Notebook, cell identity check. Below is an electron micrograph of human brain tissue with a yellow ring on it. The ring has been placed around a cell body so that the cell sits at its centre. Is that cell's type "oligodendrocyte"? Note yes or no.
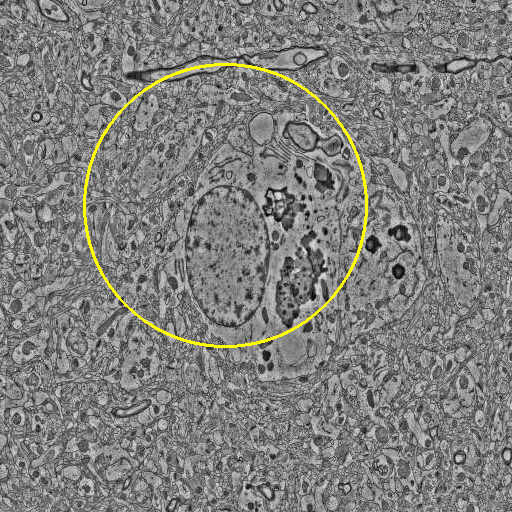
No, its cell type is another one.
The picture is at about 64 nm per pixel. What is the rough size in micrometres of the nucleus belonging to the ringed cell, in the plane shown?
About 9 by 5 micrometres; in this plane the nucleus is clearly longer than it is wide.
